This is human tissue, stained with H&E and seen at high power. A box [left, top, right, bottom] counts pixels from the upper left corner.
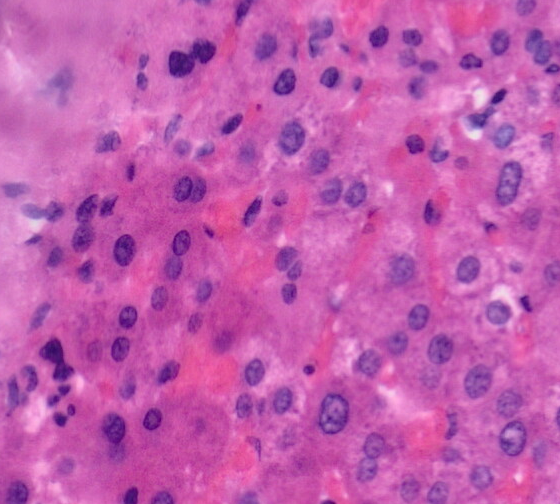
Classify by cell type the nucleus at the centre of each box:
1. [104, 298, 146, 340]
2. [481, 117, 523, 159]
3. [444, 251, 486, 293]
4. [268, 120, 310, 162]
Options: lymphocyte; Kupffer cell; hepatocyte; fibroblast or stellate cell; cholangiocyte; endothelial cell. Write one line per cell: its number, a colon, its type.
1: hepatocyte
2: cholangiocyte
3: hepatocyte
4: hepatocyte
